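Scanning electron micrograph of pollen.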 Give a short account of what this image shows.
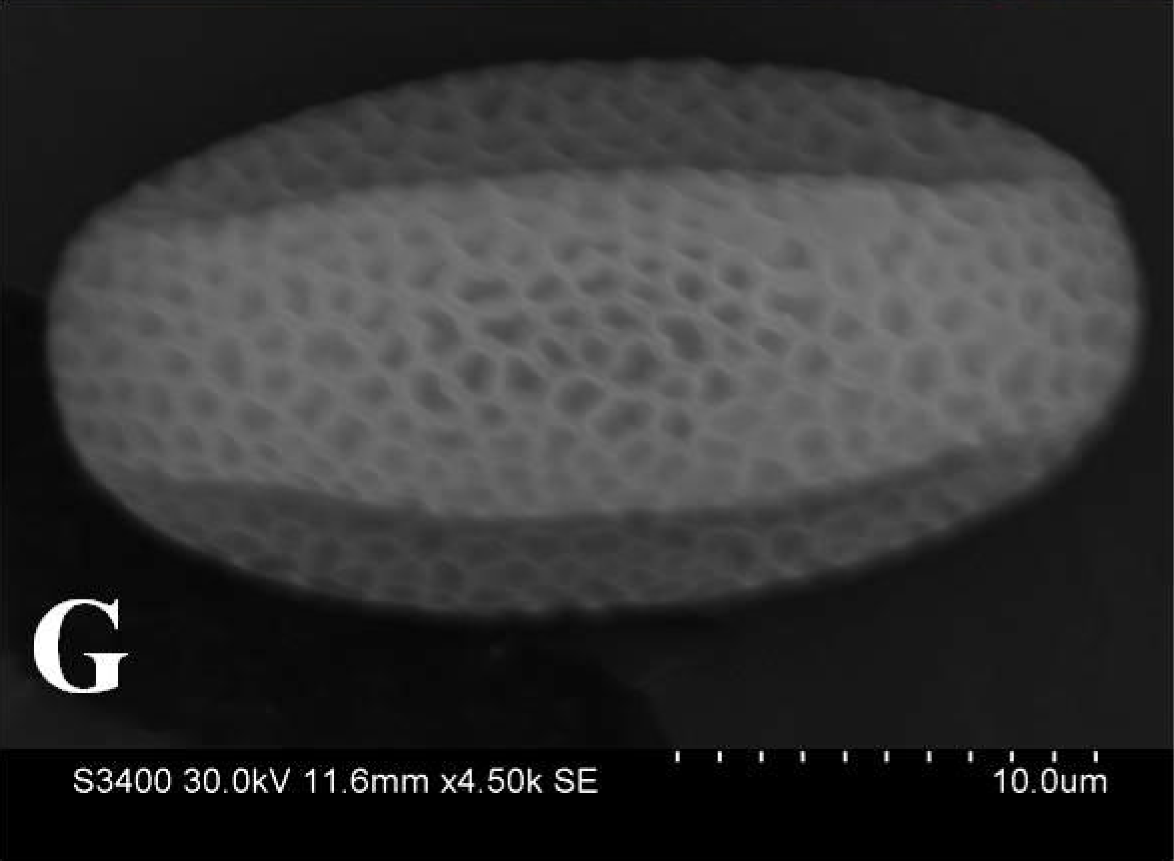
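The grain is ellipsoid and full, not caved in. Its surface is covered by a regular network of raised ridges enclosing small polygonal pits.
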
